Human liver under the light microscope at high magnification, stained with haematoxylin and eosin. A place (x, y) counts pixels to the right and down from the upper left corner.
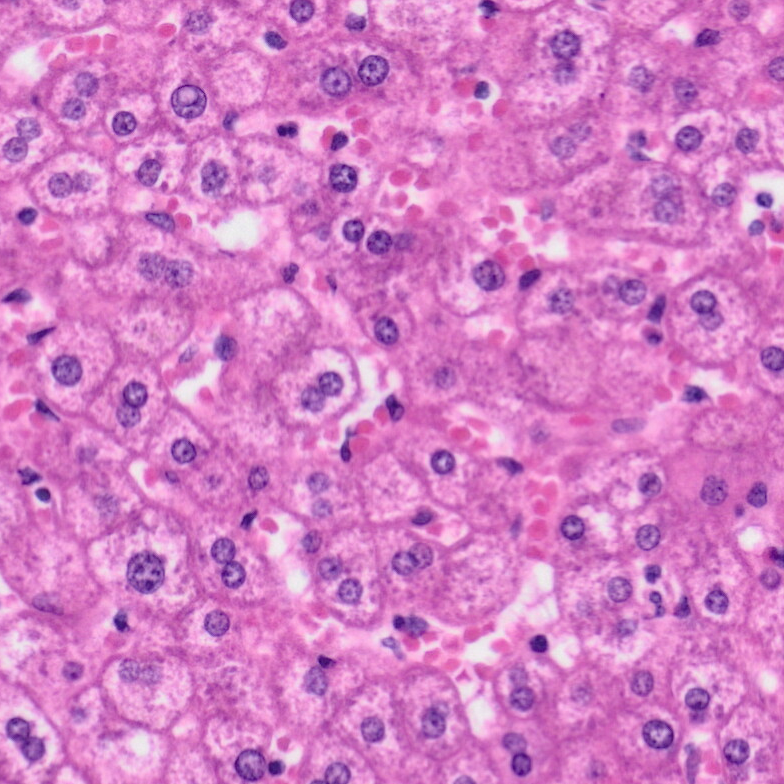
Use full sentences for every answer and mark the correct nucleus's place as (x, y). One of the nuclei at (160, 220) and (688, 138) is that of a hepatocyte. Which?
Identified as belonging to a hepatocyte is the nucleus at (688, 138).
